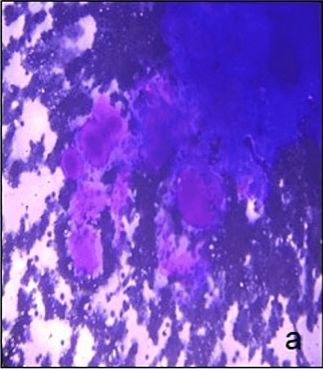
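Aspirate smear of adenoid cystic carcinoma: small tumour cells crowd around round magenta globules of matrix. The background holds numerous small dark blue-violet cells with scant cytoplasm, lying in sheets and dispersed singly. Several round, smooth, homogeneous magenta to pink globules stand out at the centre and left, some rimmed by small cells. A dense, deep blue, heavily cellular area fills the upper right. Pale clear spaces separate the cell groups at the left edge. At this low magnification nuclear detail is limited; the cells appear uniform in size with little cytoplasm around the nuclei.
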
